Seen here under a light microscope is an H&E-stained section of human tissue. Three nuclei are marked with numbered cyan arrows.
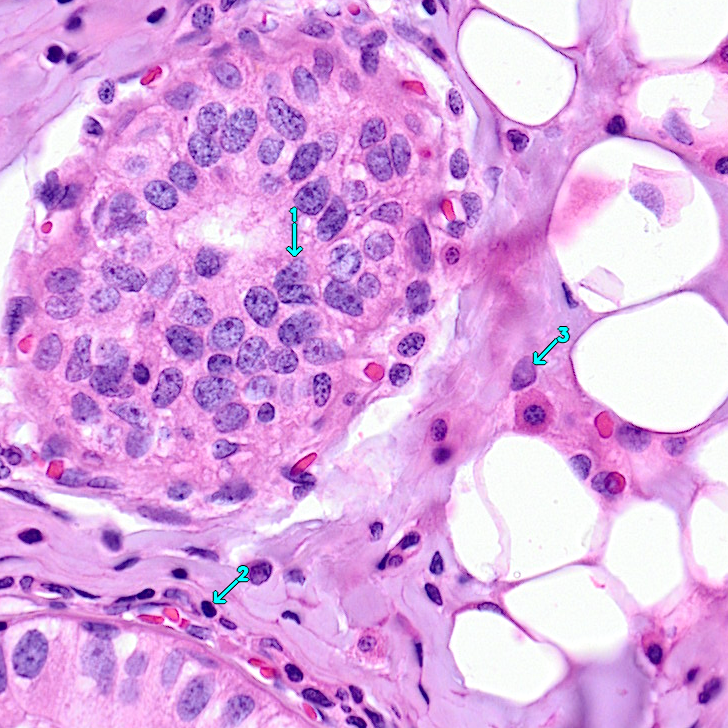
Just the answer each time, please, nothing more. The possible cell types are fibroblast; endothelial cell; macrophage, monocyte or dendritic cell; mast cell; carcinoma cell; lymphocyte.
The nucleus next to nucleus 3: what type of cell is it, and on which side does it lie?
a mast cell, below nucleus 3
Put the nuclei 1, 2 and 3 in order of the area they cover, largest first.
1, 3, 2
